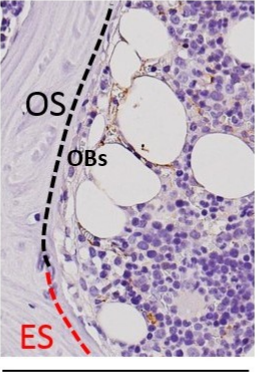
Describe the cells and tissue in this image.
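Trabecular bone edge with cellular marrow: pale lamellar bone lies at left, lined by a row of flattened cells with blue nuclei. The marrow holds scattered large clear adipocytes among densely packed small round hematopoietic cells, with only sparse brown specks.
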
